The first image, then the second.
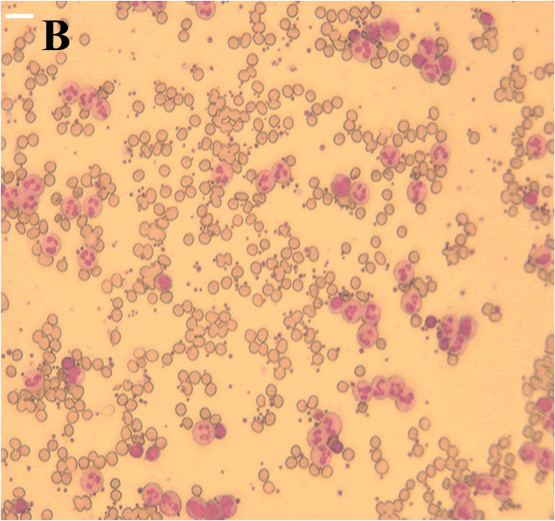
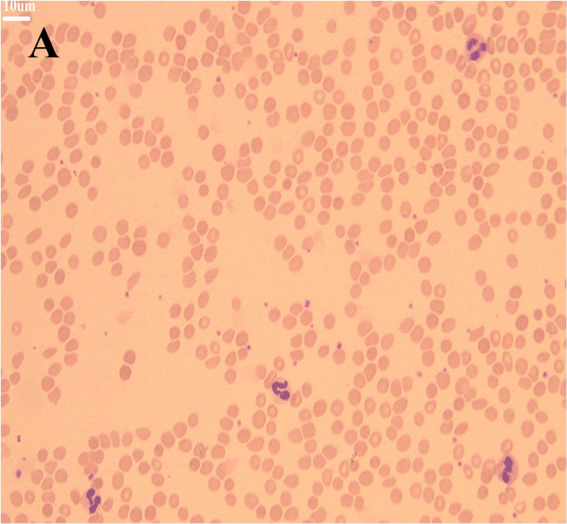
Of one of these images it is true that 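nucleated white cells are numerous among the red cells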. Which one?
The first image.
